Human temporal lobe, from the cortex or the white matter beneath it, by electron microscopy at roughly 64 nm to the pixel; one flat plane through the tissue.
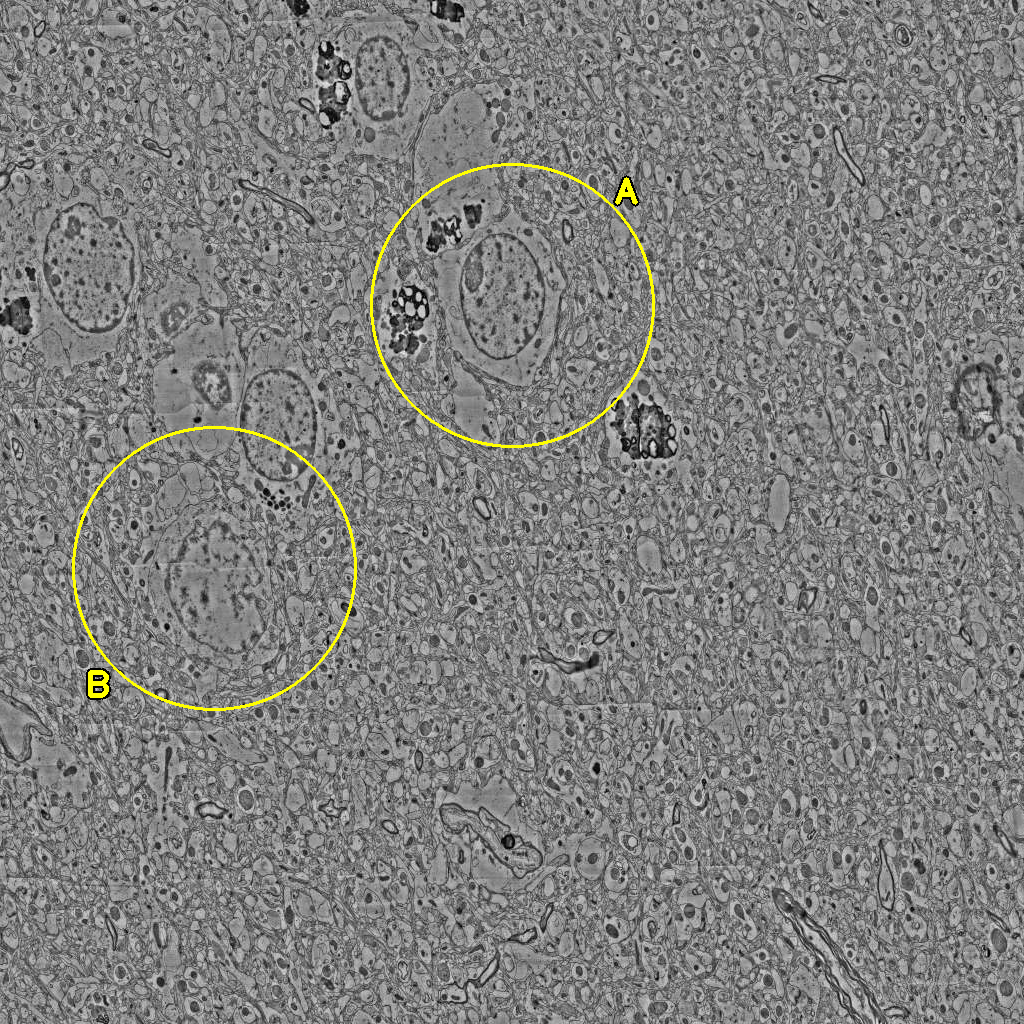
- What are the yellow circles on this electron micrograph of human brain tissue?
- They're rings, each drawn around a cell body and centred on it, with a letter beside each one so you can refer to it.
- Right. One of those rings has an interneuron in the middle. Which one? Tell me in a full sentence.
It's ring B.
